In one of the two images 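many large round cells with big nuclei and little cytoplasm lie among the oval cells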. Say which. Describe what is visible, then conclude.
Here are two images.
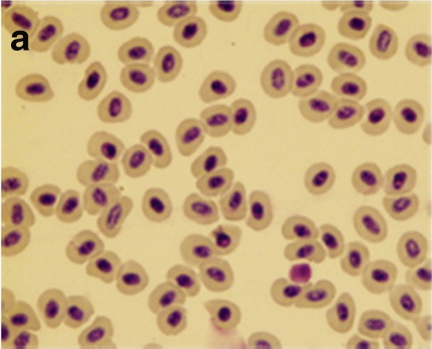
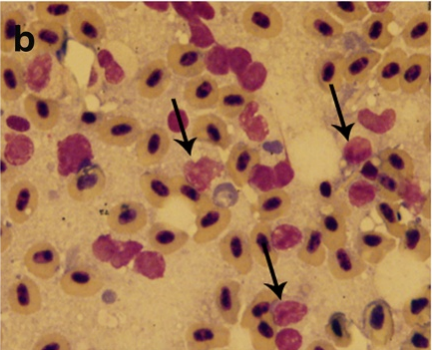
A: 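Second image: numerous larger round cells with large reddish-purple nuclei are scattered among the oval cells. First image: almost all cells are uniform oval cells with small dark central nuclei. The answer: the second image.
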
